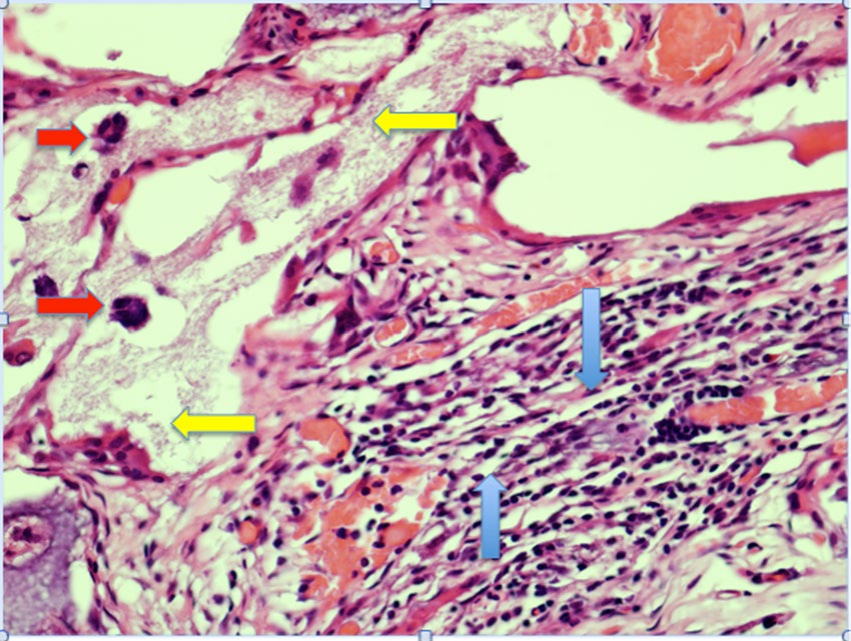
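A hematoxylin and eosin section in which large multinucleated cells with dark purple clustered nuclei lie within pale, finely fibrillar, sparsely cellular matrix in the upper left. In the lower right, a dense band of small cells with elongated, dark-staining nuclei runs diagonally, interspersed with vessels filled with red blood cells. Thin pink strands of fibrous tissue separate the pale matrix areas, and a large empty space lies at the upper right.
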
